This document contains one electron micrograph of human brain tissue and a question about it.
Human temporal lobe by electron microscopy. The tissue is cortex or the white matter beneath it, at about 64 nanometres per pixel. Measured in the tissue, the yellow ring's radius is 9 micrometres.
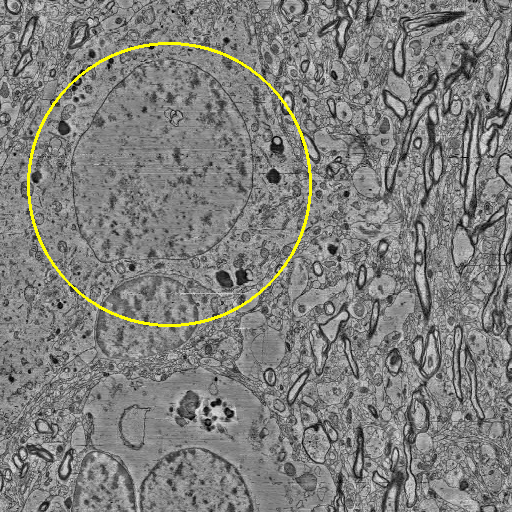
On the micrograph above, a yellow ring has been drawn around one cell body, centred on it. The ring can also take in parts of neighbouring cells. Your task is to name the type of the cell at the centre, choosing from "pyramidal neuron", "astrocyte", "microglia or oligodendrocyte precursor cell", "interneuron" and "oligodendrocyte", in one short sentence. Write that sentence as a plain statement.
Here the ring is centred on a pyramidal neuron.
